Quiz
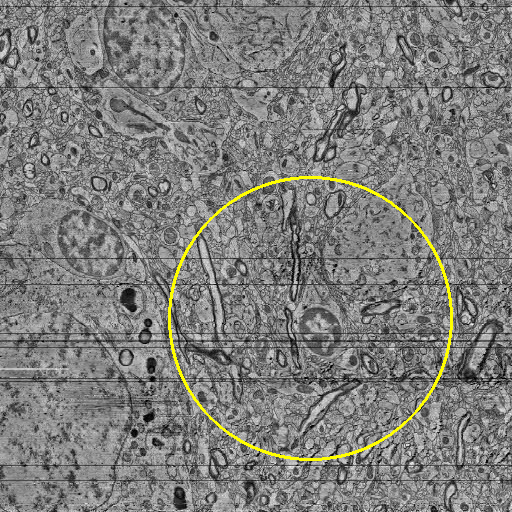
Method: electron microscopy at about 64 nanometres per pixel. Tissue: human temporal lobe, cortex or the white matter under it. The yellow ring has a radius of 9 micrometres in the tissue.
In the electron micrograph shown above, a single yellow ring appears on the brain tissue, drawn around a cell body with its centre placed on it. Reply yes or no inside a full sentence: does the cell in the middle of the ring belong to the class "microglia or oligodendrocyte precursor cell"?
Yes, the cell at the centre of the ring in the picture belongs to that class.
